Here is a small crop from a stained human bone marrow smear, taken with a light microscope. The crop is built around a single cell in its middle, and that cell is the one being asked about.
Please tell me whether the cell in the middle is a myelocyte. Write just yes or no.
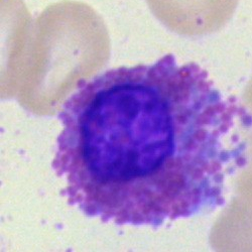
no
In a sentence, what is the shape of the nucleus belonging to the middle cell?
The nucleus is one compact mass, round, oval or kidney-shaped in outline.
